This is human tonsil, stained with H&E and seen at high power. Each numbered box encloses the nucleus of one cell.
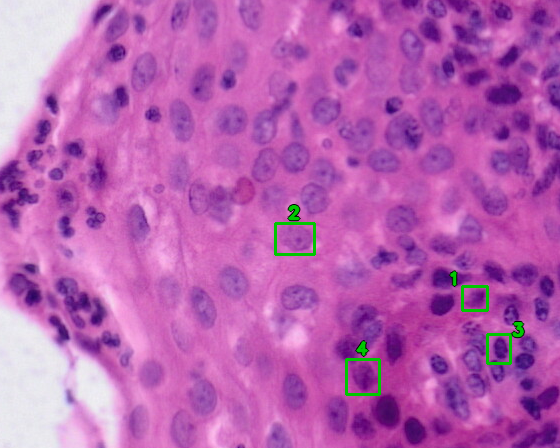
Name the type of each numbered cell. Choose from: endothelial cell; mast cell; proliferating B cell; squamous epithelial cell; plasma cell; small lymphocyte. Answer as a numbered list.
1. squamous epithelial cell
2. squamous epithelial cell
3. plasma cell
4. squamous epithelial cell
